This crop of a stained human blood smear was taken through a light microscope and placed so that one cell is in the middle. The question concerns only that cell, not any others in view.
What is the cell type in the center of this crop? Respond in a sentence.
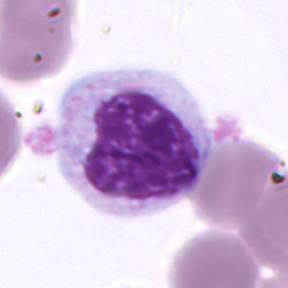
The cell in the middle of the field of view is a metamyelocyte.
